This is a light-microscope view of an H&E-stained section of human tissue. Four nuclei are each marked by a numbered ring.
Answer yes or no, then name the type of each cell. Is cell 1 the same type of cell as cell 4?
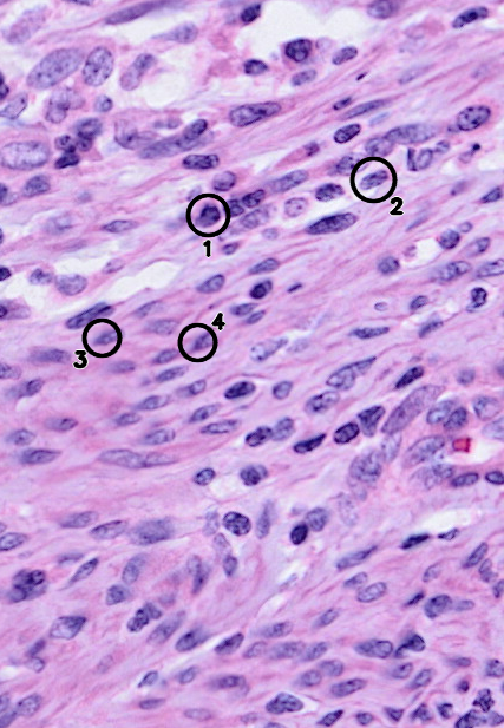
No, cell 1 is identified as a lymphocyte, and cell 4 is identified as a smooth muscle cell.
